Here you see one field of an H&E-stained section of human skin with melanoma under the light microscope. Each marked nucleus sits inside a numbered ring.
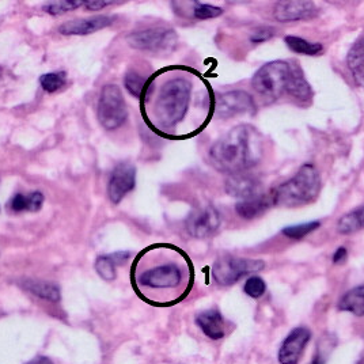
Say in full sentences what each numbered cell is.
Cell 1 is a macrophage or monocyte. Cell 2 is a melanoma cell.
